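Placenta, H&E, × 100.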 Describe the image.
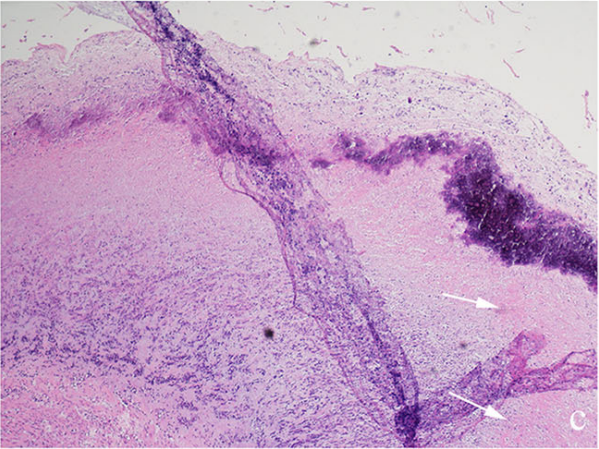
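Pale pink, loose stroma is crossed by a narrow, diagonal purple streak of densely packed small nuclei, consistent with a band of inflammatory cells. Toward the lower right, faint, structureless pink-to-lilac material lies in the stroma without intact cell outlines. This material, and the disrupted tissue around it, is necrotic debris set among inflammatory cells.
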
